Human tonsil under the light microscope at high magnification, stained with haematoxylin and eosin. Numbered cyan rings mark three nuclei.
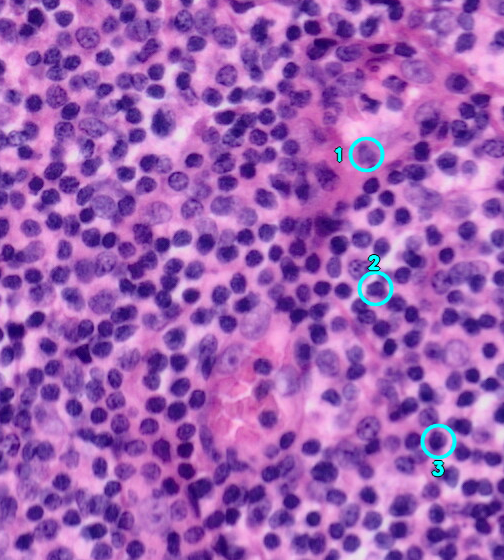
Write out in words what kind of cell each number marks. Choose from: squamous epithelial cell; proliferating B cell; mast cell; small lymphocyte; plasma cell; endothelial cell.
Cell 1 is an endothelial cell. Cells 2 and 3 are small lymphocytes.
